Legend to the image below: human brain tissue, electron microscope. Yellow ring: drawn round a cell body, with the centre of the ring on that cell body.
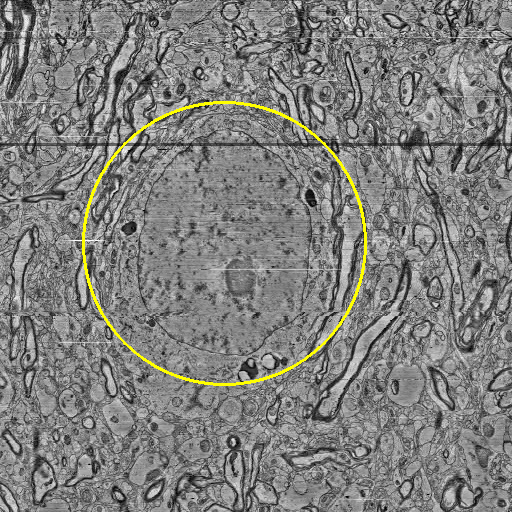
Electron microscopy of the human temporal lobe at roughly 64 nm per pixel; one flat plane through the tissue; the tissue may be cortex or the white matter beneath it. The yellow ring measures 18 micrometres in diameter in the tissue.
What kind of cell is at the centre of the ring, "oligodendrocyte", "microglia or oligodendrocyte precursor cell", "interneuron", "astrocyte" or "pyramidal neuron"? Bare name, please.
pyramidal neuron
